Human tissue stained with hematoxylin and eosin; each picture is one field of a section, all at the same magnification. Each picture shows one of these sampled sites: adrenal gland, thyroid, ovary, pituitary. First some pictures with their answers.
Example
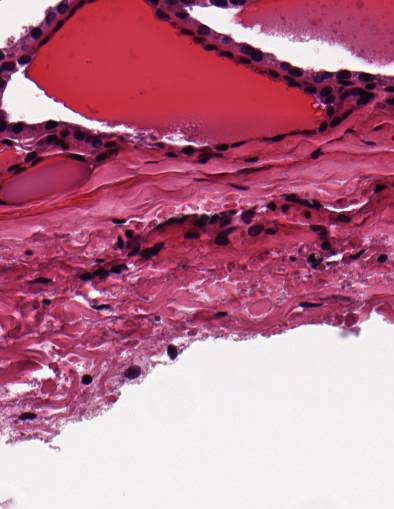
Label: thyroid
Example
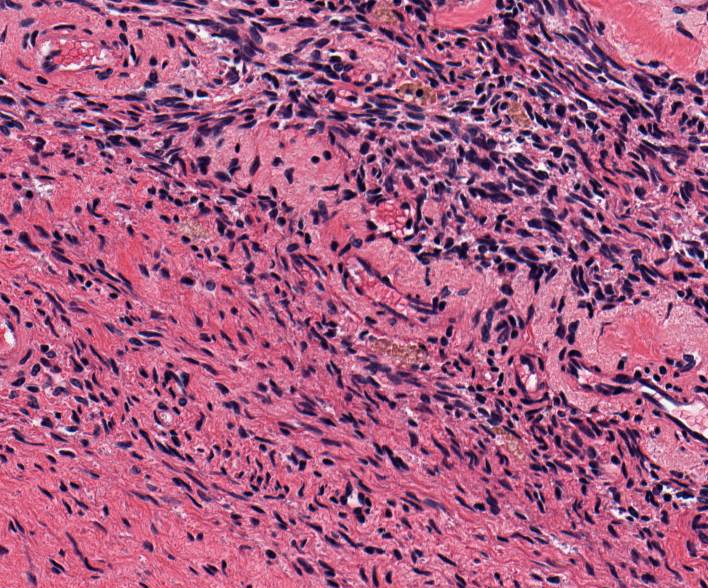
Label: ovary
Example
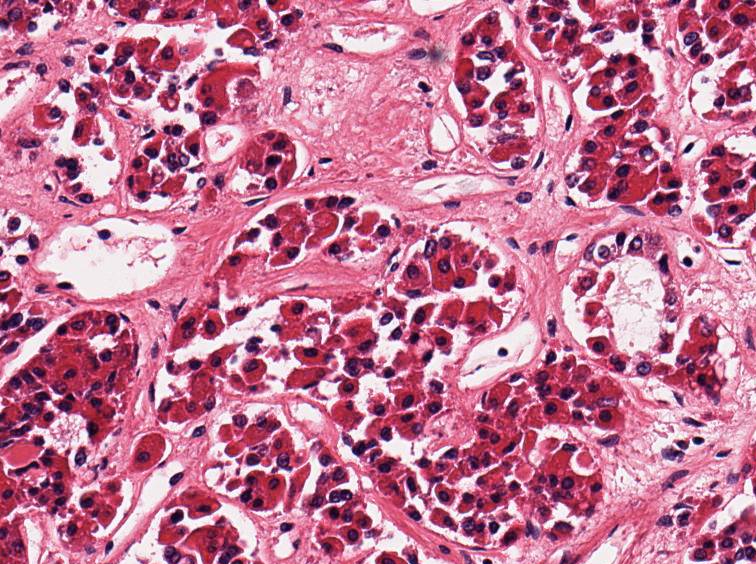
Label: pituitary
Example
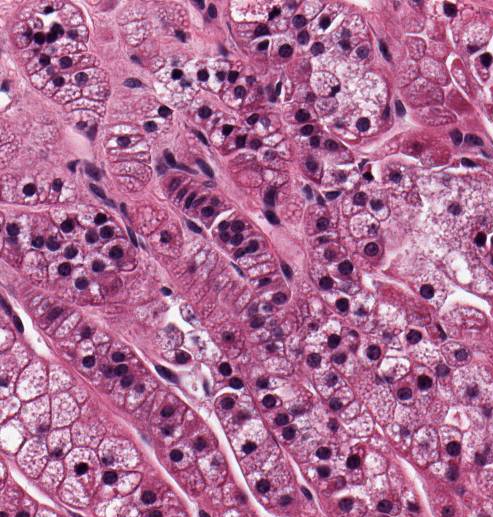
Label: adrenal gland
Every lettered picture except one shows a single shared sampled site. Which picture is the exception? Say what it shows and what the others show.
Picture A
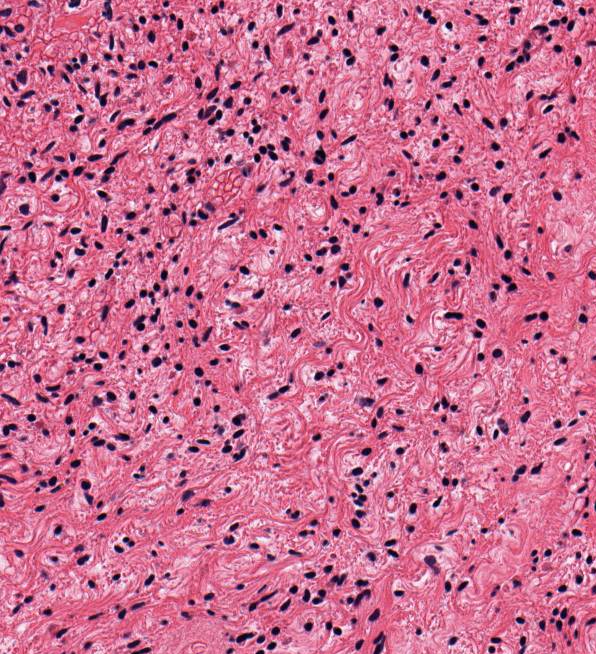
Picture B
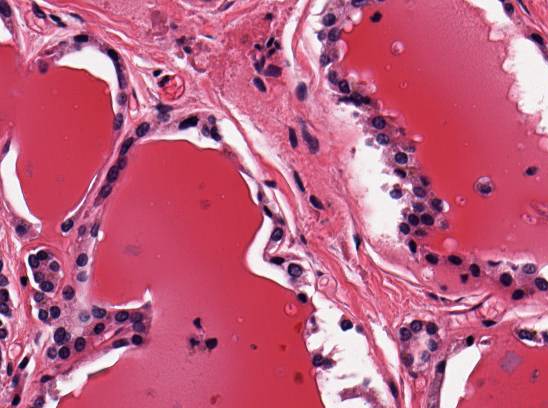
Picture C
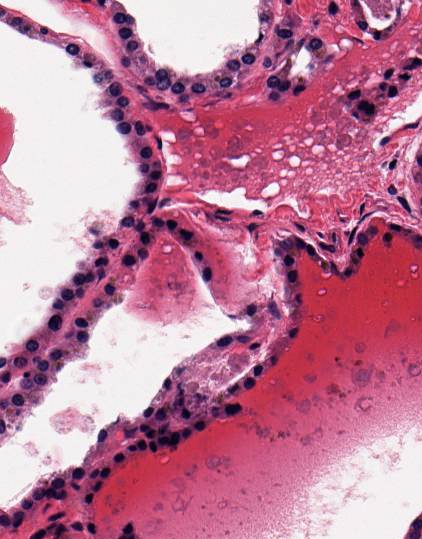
Picture A: ovary. All others: thyroid.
